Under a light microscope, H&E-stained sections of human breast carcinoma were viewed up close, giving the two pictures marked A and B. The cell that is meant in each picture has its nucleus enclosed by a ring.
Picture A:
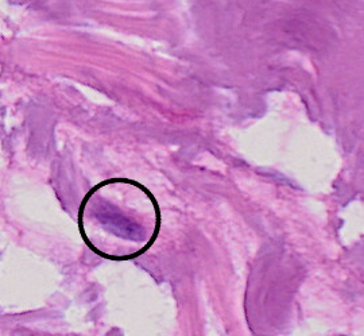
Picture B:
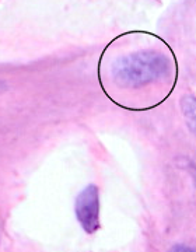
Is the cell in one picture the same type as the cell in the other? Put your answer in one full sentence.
Yes, both cells are fibroblasts.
